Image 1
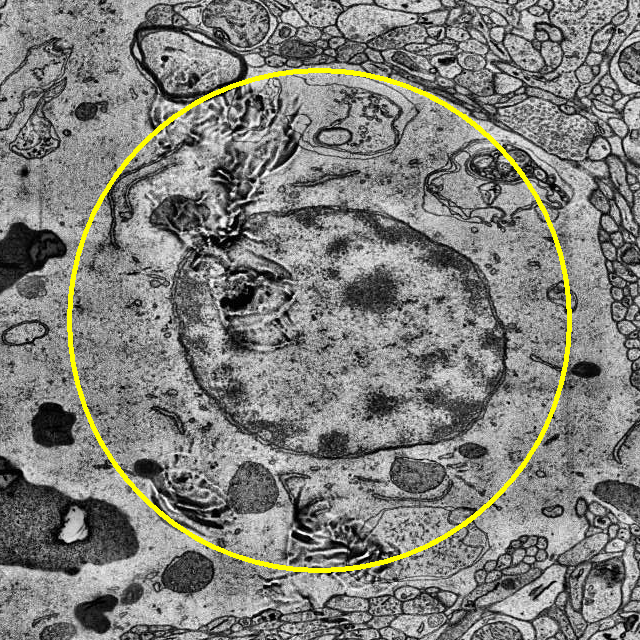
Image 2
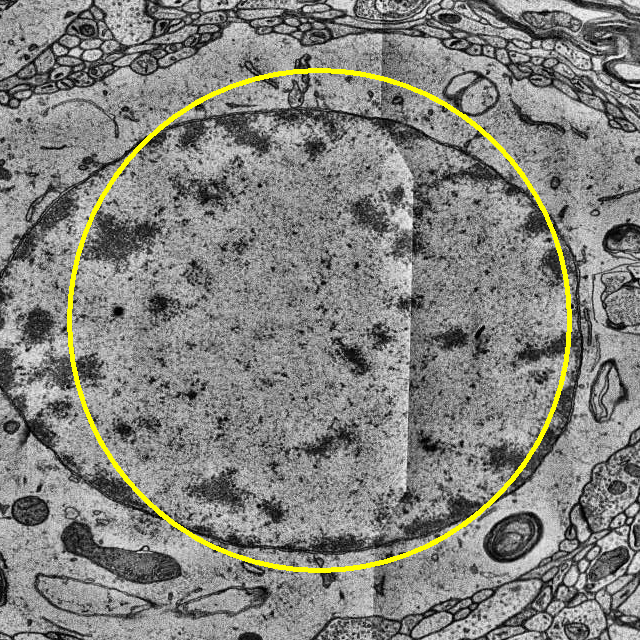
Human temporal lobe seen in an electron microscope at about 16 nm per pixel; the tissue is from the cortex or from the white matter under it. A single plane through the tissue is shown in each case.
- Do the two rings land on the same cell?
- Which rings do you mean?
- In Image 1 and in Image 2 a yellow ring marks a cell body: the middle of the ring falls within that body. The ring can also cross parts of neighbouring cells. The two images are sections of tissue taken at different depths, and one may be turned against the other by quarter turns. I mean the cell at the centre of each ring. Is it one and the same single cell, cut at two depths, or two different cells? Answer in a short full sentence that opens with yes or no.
Yes, only one cell is involved, and both rings mark it.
